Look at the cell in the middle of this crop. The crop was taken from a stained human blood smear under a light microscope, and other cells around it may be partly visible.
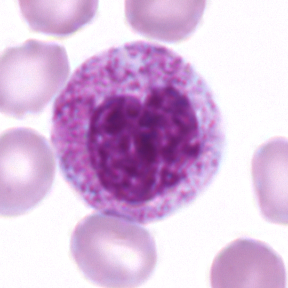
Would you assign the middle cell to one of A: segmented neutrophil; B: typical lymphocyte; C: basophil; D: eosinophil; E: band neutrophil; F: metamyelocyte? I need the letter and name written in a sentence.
Option E is the correct selection, for the cell at the centre is a band neutrophil.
